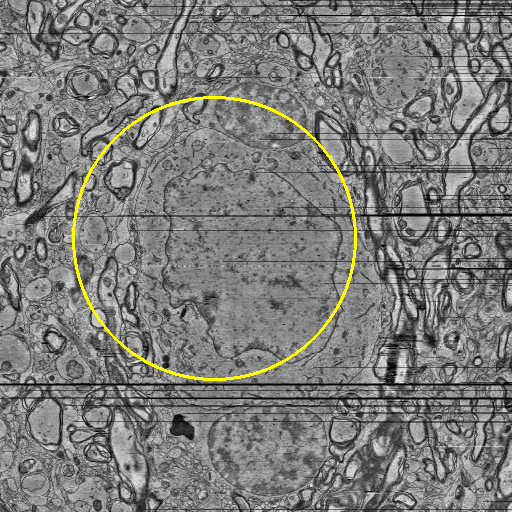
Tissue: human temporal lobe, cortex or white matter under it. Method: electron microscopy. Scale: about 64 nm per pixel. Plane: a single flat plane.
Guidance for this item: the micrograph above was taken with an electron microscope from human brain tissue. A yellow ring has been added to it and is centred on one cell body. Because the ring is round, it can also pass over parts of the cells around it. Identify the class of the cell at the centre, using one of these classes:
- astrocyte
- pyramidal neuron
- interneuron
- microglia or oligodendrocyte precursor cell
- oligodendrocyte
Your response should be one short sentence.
The ring surrounds the body of a pyramidal neuron.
